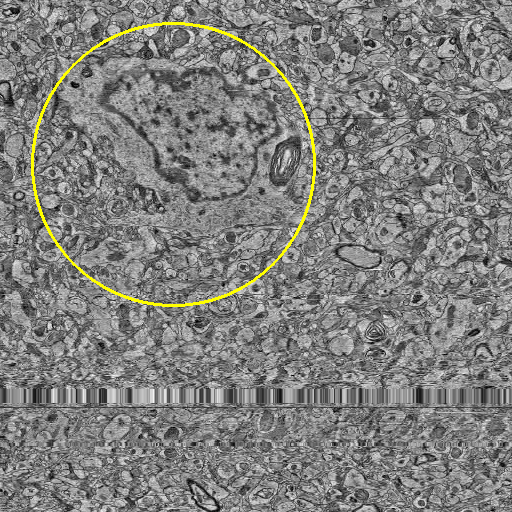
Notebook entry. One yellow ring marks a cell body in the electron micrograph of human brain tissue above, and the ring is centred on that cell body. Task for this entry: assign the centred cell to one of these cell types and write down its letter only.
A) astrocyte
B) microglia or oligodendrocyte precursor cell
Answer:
B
